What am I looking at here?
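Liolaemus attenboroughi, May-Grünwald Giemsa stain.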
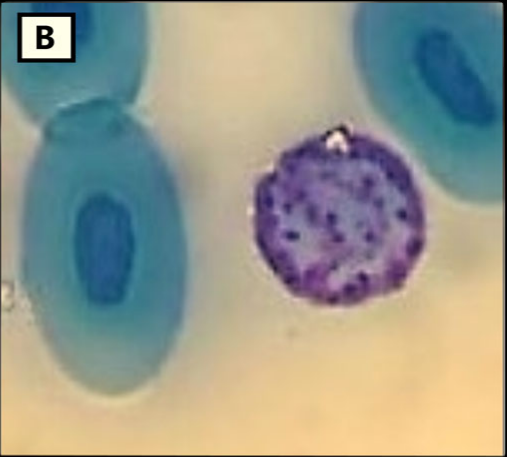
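A basophil lies in a blood smear beside oval red blood cells with pale blue-green cytoplasm and central, elongated nuclei. The basophil is round and clearly smaller than the red cells. Its cytoplasm is pale lilac and is peppered with many small, dark purple granules spread over the whole cell. No distinct nucleus stands out, because the granules cover much of the cell.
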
